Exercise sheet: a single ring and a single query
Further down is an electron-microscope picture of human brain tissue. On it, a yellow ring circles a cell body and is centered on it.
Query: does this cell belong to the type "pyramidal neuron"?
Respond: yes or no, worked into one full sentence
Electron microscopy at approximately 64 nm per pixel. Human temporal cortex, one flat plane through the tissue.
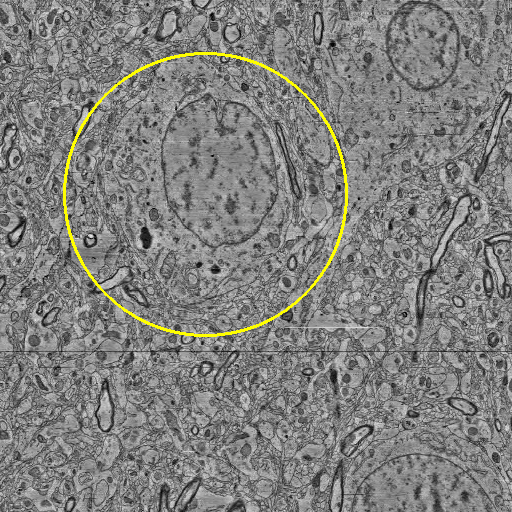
Yes, this ringed cell, found at the center of the ring in the picture, is of that type.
